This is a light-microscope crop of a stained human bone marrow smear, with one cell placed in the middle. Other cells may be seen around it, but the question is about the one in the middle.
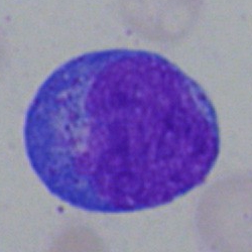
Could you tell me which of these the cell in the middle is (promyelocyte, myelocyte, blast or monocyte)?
promyelocyte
